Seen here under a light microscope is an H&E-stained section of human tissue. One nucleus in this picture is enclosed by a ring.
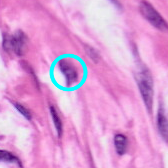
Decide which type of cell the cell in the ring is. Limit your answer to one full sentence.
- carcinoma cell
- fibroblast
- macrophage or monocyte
In this field of tissue, the cell in the ring is a fibroblast.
